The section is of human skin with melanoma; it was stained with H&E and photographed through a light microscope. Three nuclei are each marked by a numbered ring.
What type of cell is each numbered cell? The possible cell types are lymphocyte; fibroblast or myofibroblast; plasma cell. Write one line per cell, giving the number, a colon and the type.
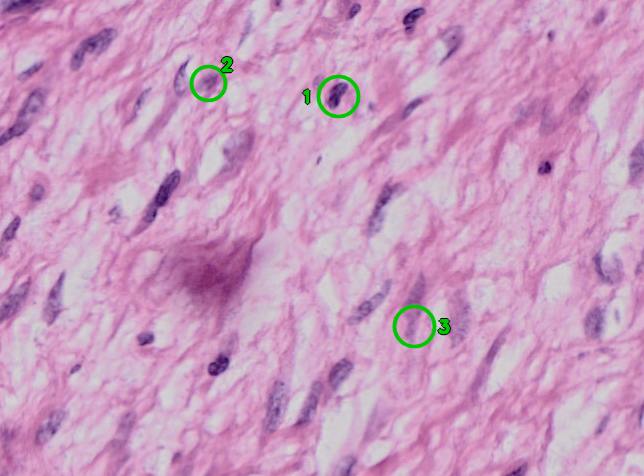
1: lymphocyte
2: fibroblast or myofibroblast
3: fibroblast or myofibroblast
